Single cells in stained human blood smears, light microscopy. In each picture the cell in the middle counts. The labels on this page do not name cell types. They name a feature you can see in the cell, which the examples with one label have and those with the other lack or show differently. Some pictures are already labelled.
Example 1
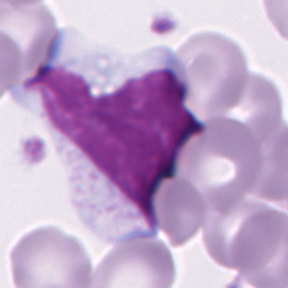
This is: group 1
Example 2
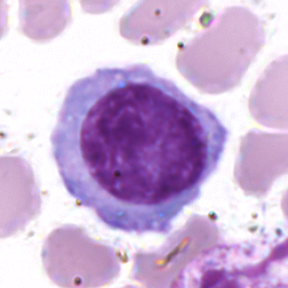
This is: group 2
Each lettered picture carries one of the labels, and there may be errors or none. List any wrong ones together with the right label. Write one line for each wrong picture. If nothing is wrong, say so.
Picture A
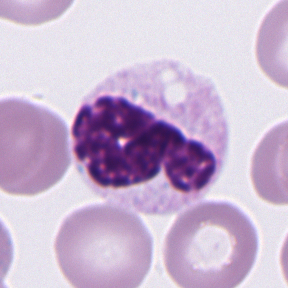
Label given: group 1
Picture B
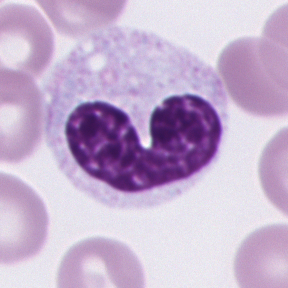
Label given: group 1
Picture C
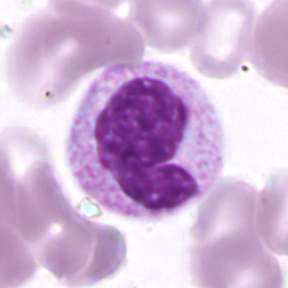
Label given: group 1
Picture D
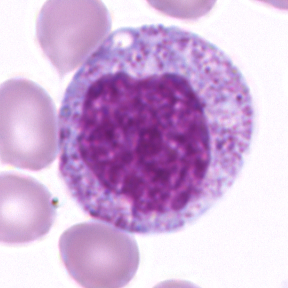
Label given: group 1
C: not group 1 but group 2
